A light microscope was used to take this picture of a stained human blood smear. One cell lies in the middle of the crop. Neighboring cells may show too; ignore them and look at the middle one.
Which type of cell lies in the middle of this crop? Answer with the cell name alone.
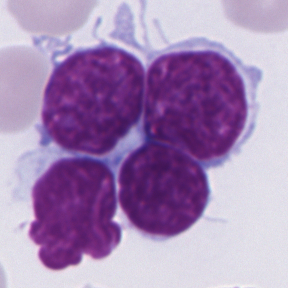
myeloblast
